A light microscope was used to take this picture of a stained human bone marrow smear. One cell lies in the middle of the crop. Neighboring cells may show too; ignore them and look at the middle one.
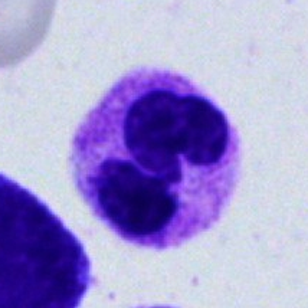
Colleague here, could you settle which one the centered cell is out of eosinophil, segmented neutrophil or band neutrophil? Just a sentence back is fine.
Of the cells in this crop, the central one is a segmented neutrophil.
